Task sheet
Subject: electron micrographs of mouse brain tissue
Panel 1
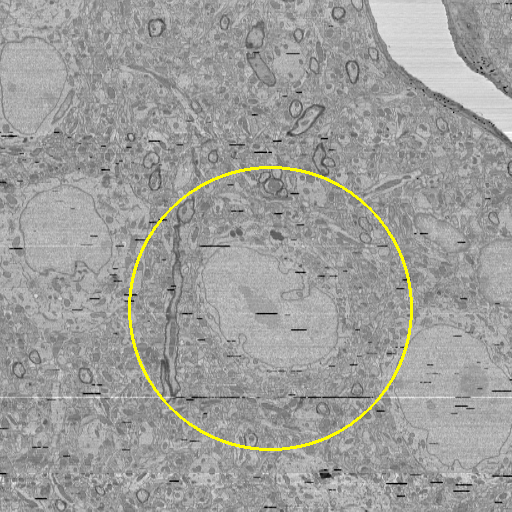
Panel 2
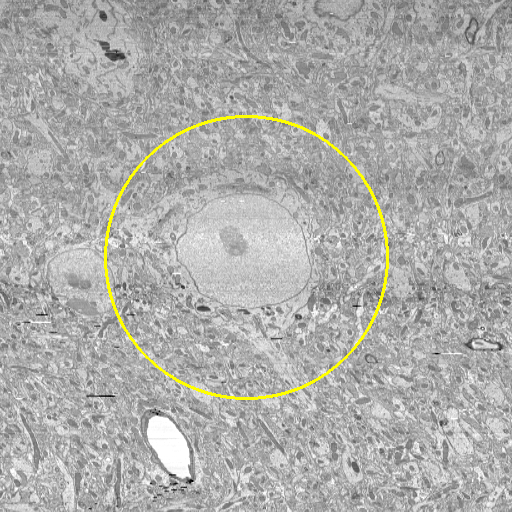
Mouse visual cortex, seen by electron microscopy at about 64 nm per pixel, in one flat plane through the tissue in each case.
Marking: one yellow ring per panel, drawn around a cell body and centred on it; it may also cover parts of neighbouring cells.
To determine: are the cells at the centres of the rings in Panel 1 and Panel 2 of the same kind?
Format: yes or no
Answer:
no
